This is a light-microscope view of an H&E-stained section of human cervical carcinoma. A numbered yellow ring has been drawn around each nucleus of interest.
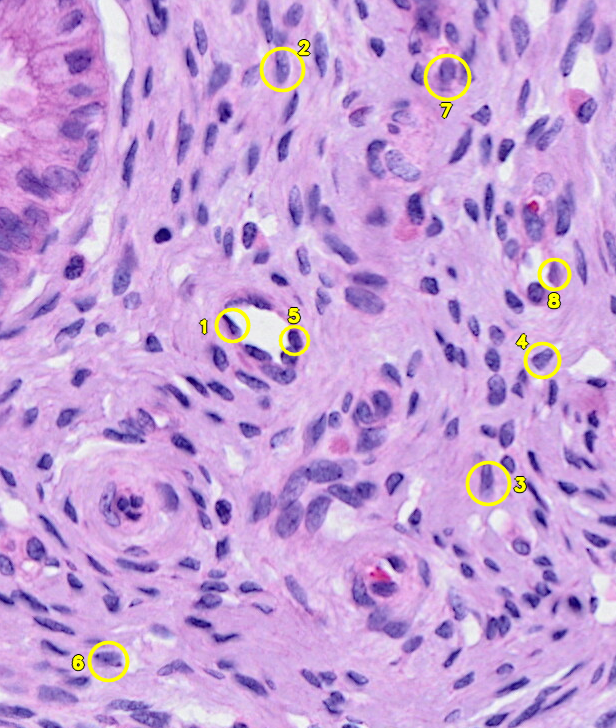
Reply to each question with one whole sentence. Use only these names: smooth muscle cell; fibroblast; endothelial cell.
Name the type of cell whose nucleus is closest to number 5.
Closest to number 5 lies the nucleus of an endothelial cell.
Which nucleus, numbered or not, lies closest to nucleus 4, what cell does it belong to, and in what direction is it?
A fibroblast lies closest, below and to the left of nucleus 4.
